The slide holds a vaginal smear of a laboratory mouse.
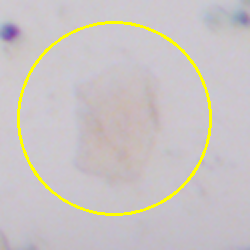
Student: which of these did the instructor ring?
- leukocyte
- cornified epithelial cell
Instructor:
The cell I ringed is a cornified epithelial cell.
